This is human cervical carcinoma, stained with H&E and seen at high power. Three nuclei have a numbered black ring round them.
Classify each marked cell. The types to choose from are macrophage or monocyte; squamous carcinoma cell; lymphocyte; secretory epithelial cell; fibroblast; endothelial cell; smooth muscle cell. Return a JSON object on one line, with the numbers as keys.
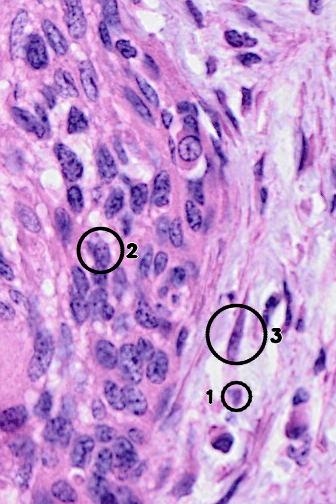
{"1": "fibroblast", "2": "squamous carcinoma cell", "3": "fibroblast"}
